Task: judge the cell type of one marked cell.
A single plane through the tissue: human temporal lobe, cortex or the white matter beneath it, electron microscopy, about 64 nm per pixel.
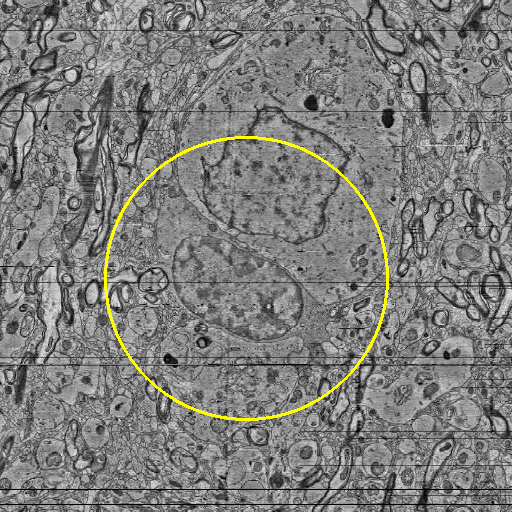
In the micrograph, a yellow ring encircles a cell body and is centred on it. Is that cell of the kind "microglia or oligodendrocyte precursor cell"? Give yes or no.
no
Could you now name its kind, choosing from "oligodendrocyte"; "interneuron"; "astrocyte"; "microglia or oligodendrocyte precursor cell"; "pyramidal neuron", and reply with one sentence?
Instead, what sits at the centre of the ring is an oligodendrocyte.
